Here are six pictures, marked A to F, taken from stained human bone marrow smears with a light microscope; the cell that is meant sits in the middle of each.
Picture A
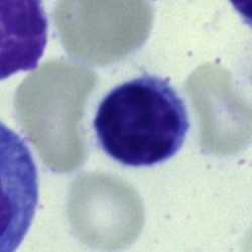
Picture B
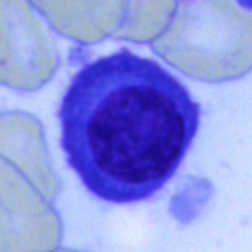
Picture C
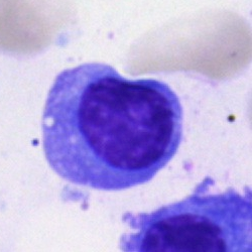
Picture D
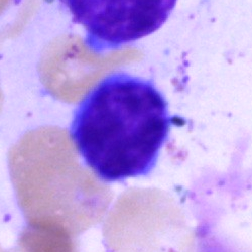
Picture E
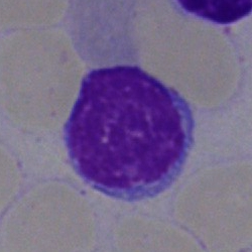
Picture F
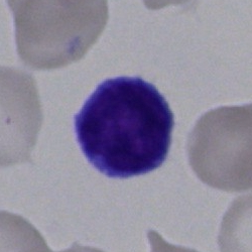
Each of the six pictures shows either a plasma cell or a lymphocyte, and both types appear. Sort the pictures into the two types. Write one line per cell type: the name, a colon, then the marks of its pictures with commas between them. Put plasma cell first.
plasma cell: B, C
lymphocyte: A, D, E, F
